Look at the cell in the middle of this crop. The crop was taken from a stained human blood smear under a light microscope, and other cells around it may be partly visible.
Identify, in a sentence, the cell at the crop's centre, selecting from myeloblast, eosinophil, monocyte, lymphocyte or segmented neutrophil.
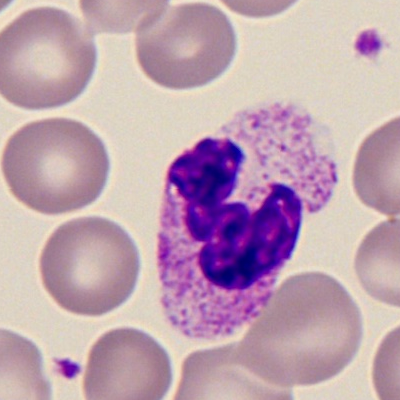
Classified as a segmented neutrophil is the cell in the middle of this crop.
